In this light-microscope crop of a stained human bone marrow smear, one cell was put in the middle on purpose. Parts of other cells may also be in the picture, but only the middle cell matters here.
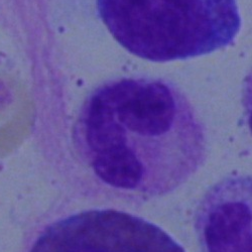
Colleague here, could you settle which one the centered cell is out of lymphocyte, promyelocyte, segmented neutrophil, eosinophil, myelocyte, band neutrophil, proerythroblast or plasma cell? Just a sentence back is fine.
This particular crop is centered on a band neutrophil.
